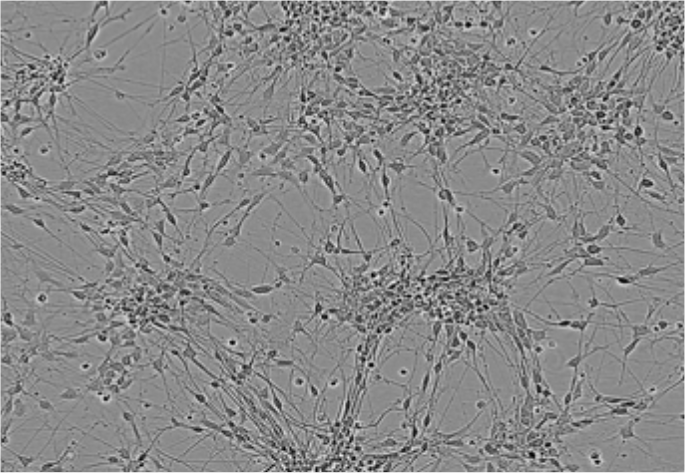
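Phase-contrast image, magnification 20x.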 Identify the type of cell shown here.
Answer: neuronal culture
